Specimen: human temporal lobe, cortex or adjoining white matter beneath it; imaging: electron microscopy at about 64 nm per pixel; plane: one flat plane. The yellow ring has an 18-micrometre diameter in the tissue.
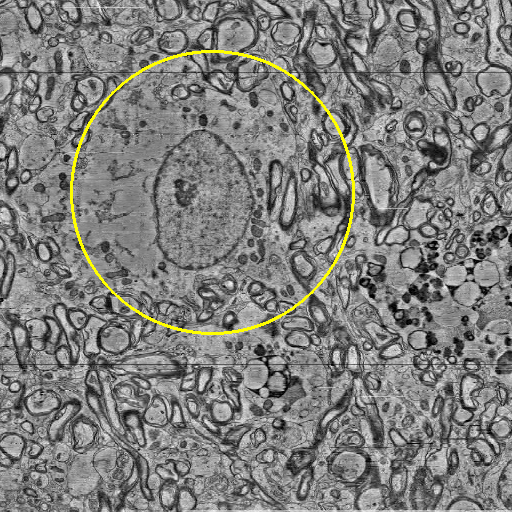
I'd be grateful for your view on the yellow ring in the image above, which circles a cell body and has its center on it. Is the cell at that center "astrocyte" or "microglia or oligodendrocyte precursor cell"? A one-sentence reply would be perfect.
The cell at the center of the yellow ring is an astrocyte.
